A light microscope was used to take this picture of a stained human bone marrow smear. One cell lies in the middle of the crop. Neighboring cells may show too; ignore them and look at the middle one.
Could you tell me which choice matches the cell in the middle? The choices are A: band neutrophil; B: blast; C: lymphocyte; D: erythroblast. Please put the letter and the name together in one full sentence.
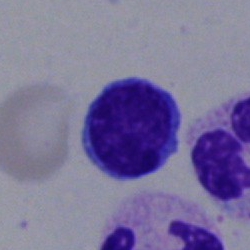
Identified correctly by option C, the cell in the middle is a lymphocyte.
